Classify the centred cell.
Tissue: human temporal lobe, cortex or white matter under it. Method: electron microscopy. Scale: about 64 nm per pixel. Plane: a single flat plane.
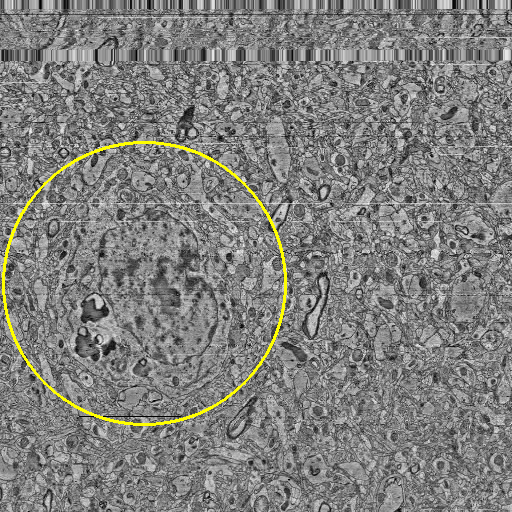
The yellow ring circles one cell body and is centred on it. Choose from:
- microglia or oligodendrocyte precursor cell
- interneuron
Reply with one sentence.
The ring is centred on an interneuron.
